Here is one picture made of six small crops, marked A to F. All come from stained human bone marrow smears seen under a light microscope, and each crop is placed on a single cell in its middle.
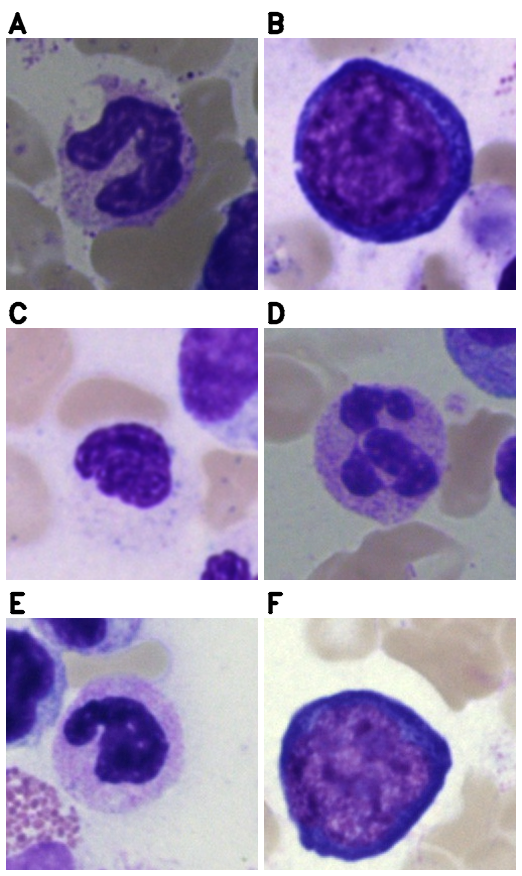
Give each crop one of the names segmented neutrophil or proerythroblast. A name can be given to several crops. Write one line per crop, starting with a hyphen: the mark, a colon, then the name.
- A: segmented neutrophil
- B: proerythroblast
- C: segmented neutrophil
- D: segmented neutrophil
- E: segmented neutrophil
- F: proerythroblast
